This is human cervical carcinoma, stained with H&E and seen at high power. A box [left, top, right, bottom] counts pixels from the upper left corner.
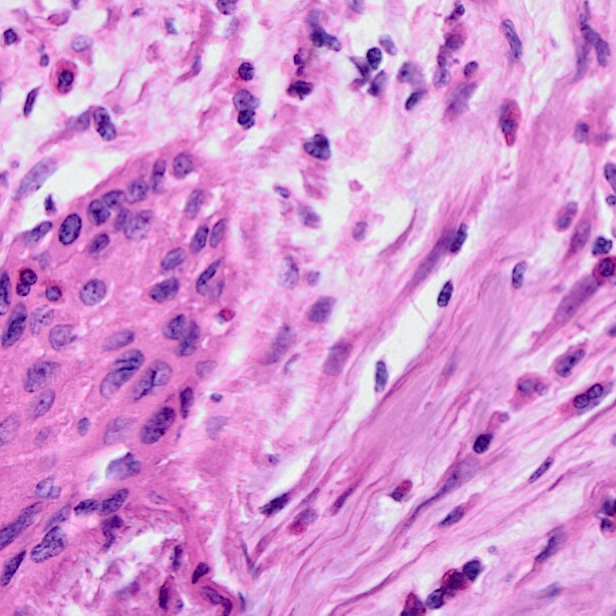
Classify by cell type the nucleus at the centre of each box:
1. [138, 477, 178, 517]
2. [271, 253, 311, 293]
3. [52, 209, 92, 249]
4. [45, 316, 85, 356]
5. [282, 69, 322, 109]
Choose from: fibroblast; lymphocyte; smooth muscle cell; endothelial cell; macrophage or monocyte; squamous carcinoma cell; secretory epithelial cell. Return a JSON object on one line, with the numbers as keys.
{"1": "squamous carcinoma cell", "2": "fibroblast", "3": "squamous carcinoma cell", "4": "squamous carcinoma cell", "5": "lymphocyte"}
